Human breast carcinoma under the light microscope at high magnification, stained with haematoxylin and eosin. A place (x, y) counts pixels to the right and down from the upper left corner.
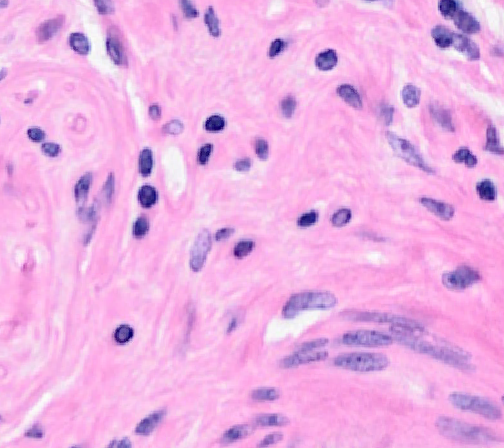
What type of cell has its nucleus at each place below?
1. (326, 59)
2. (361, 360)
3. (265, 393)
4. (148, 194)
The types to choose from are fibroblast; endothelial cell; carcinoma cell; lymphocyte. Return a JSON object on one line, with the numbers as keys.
{"1": "lymphocyte", "2": "endothelial cell", "3": "endothelial cell", "4": "lymphocyte"}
